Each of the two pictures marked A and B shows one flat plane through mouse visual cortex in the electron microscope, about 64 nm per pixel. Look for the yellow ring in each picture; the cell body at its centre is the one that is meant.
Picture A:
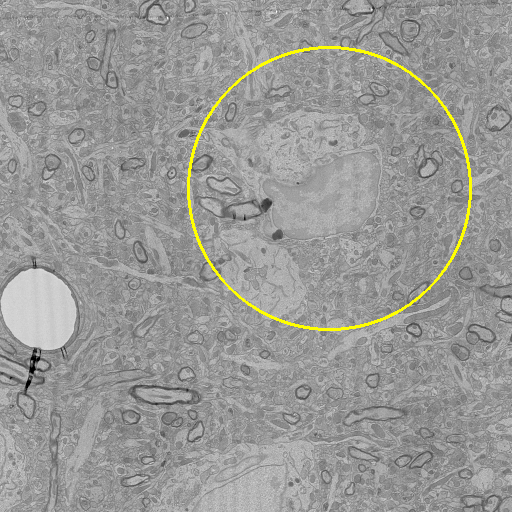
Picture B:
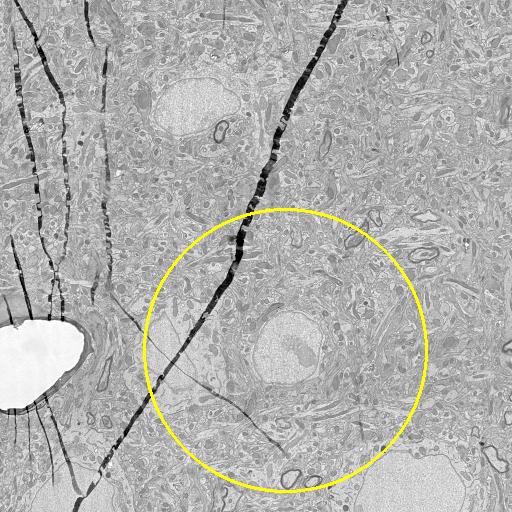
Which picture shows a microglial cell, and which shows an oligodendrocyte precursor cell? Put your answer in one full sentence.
Picture A shows a microglial cell and picture B shows an oligodendrocyte precursor cell.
